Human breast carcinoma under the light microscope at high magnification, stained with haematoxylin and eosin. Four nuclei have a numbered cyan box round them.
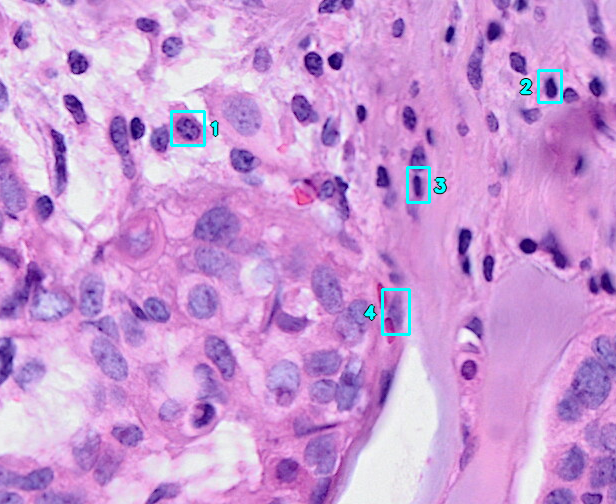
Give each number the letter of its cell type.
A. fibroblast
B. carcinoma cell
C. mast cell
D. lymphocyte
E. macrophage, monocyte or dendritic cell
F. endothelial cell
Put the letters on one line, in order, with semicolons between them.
C; D; D; F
